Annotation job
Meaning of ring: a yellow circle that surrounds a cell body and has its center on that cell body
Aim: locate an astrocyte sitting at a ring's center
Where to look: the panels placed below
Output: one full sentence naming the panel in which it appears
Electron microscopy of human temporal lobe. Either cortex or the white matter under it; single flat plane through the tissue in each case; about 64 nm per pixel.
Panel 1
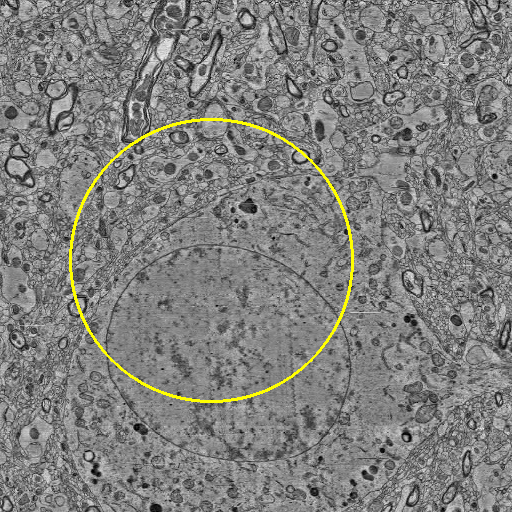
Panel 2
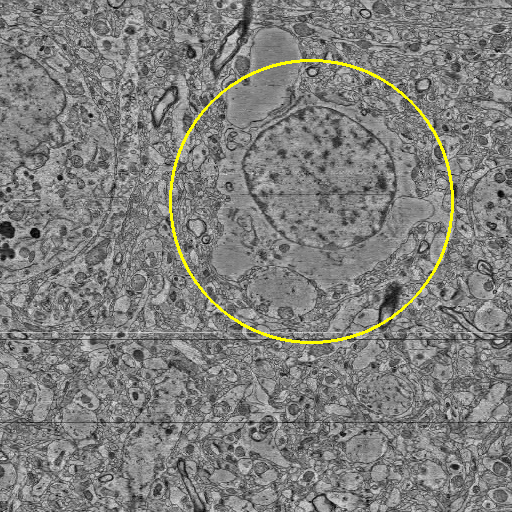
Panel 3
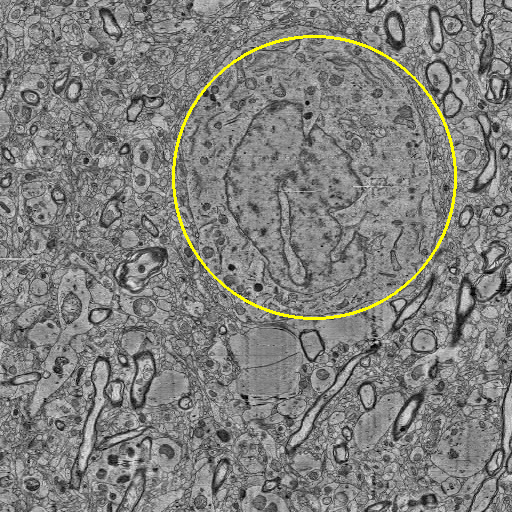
The cell at the center of the ring in panel 2 is the one sought.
